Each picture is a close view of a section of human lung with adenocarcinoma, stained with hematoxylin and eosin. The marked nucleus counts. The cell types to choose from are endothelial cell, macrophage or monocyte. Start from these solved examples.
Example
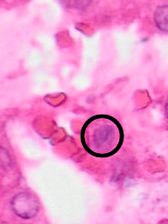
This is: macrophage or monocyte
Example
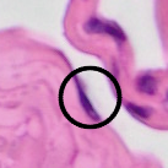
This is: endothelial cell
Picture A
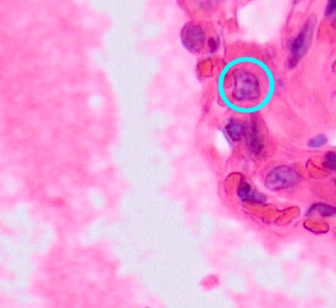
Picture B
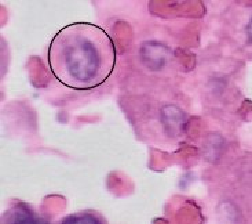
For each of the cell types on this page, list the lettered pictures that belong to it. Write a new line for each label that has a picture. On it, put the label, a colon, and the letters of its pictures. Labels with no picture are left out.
macrophage or monocyte: A, B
